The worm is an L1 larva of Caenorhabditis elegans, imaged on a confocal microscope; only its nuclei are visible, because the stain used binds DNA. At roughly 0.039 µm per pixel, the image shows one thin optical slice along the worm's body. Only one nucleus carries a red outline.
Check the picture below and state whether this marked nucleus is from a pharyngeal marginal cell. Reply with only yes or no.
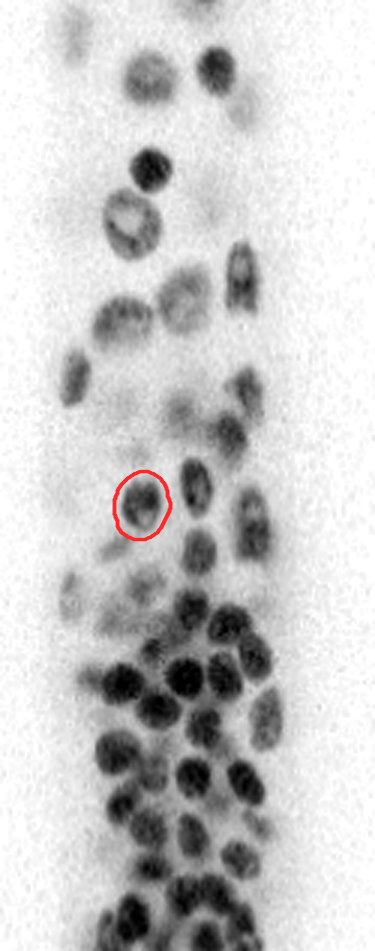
yes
